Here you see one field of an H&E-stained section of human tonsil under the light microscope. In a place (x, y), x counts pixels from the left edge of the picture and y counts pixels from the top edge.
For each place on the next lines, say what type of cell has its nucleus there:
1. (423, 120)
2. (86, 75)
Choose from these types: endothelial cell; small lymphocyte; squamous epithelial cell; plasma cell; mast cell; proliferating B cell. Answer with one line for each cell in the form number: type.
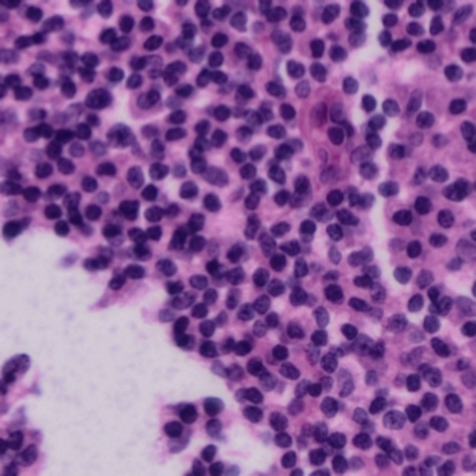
1: plasma cell
2: small lymphocyte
